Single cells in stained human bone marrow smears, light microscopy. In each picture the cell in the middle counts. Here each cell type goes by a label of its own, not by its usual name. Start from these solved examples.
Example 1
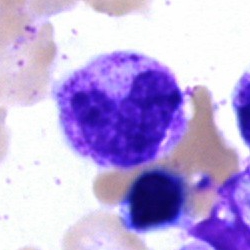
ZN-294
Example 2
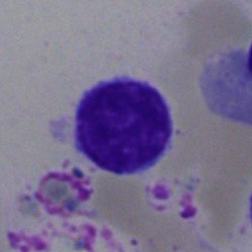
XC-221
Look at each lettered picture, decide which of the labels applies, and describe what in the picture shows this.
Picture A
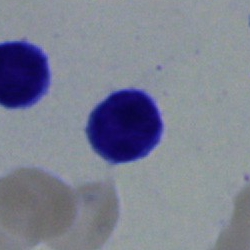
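XC-221. Reason: The nucleus fills almost the whole cell.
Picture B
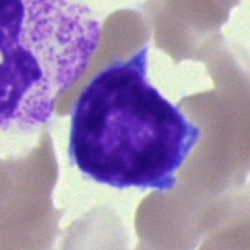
XC-221. Reason: The nucleus fills almost the whole cell, leaving only a very thin rim of cytoplasm.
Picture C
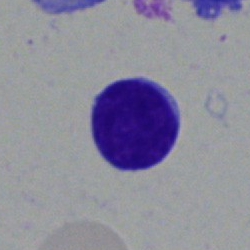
XC-221. Reason: Cytoplasm is very scant, at most a thin rim at the edge.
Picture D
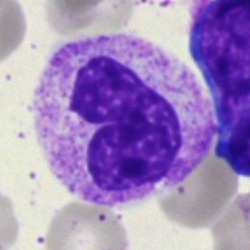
ZN-294. Reason: The cytoplasm is abundant and forms a wide rim around the nucleus.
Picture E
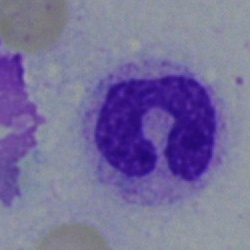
ZN-294. Reason: The nucleus is a deeply indented horseshoe shape with its notch opening downward.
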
